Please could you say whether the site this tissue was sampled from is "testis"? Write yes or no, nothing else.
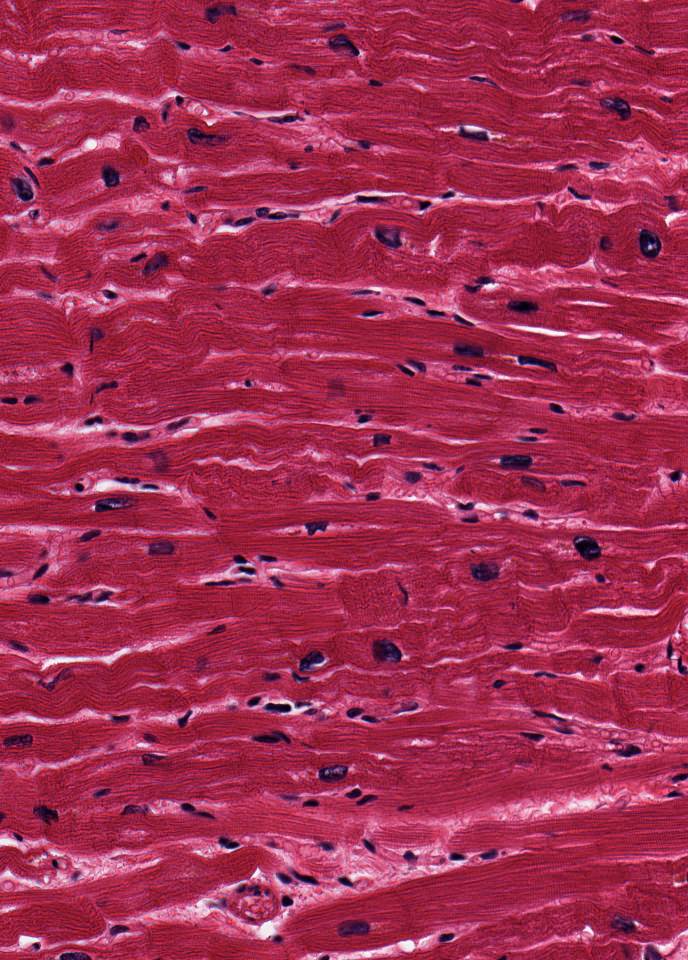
no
